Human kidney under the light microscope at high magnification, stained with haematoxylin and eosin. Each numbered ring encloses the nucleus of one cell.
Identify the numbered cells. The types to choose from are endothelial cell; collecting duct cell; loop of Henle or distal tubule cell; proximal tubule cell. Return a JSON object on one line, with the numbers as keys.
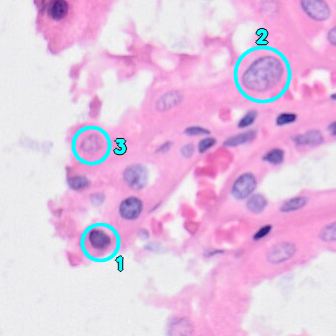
{"1": "loop of Henle or distal tubule cell", "2": "proximal tubule cell", "3": "proximal tubule cell"}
